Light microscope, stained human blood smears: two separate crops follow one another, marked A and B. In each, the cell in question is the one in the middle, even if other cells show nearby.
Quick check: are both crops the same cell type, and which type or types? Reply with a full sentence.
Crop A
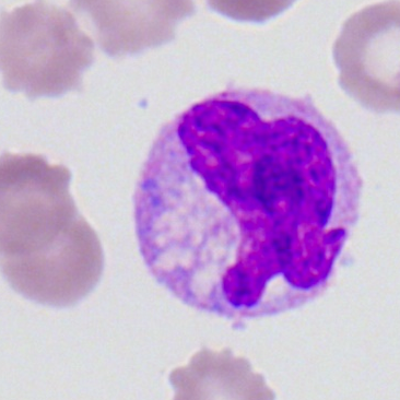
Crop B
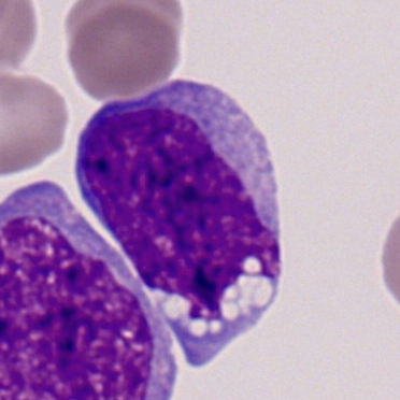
Yes, for both crops, the central cells are monocytes.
